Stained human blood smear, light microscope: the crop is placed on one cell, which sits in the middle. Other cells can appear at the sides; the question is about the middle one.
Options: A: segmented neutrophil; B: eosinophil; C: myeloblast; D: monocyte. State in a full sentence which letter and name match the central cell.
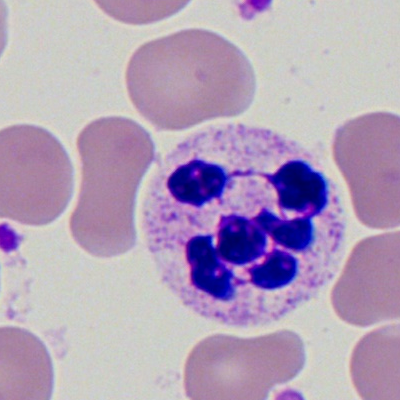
Since the cell in the centre is a segmented neutrophil, the correct option is A.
